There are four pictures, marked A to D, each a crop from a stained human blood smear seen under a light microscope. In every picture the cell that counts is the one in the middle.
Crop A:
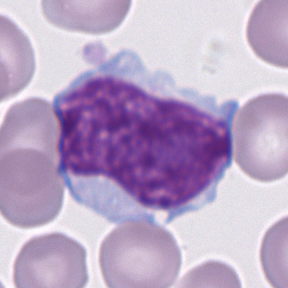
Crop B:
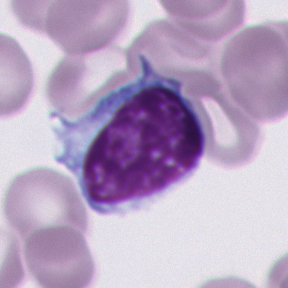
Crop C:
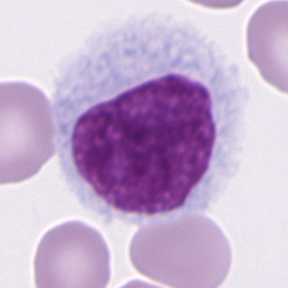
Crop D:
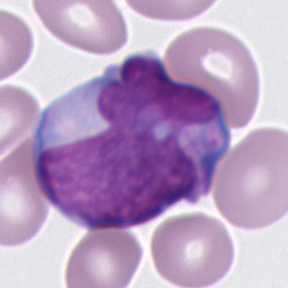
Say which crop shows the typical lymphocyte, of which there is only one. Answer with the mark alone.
B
